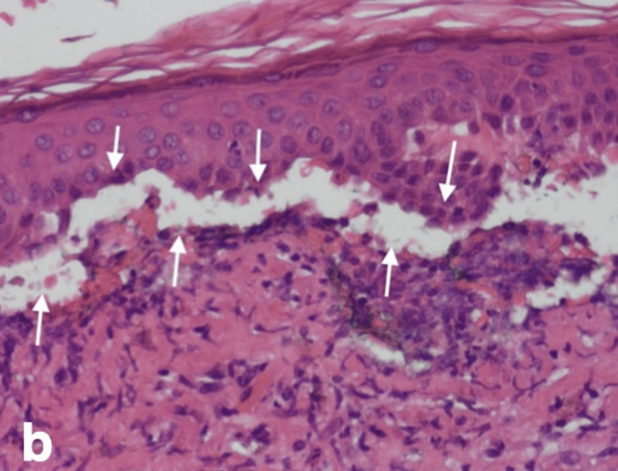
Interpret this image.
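This is skin in which the epidermis has come away from the dermis along its base. Above, the keratinocytes form orderly layers of pink cells with round nuclei, topped by a thin basket-weave layer of pink keratin. A clear white cleft runs beneath the basal cell layer, with a few red blood cells and scattered cells lying in it. Below the cleft the pink dermis holds many small, dark-nucleated inflammatory cells, gathered most thickly just under the split.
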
